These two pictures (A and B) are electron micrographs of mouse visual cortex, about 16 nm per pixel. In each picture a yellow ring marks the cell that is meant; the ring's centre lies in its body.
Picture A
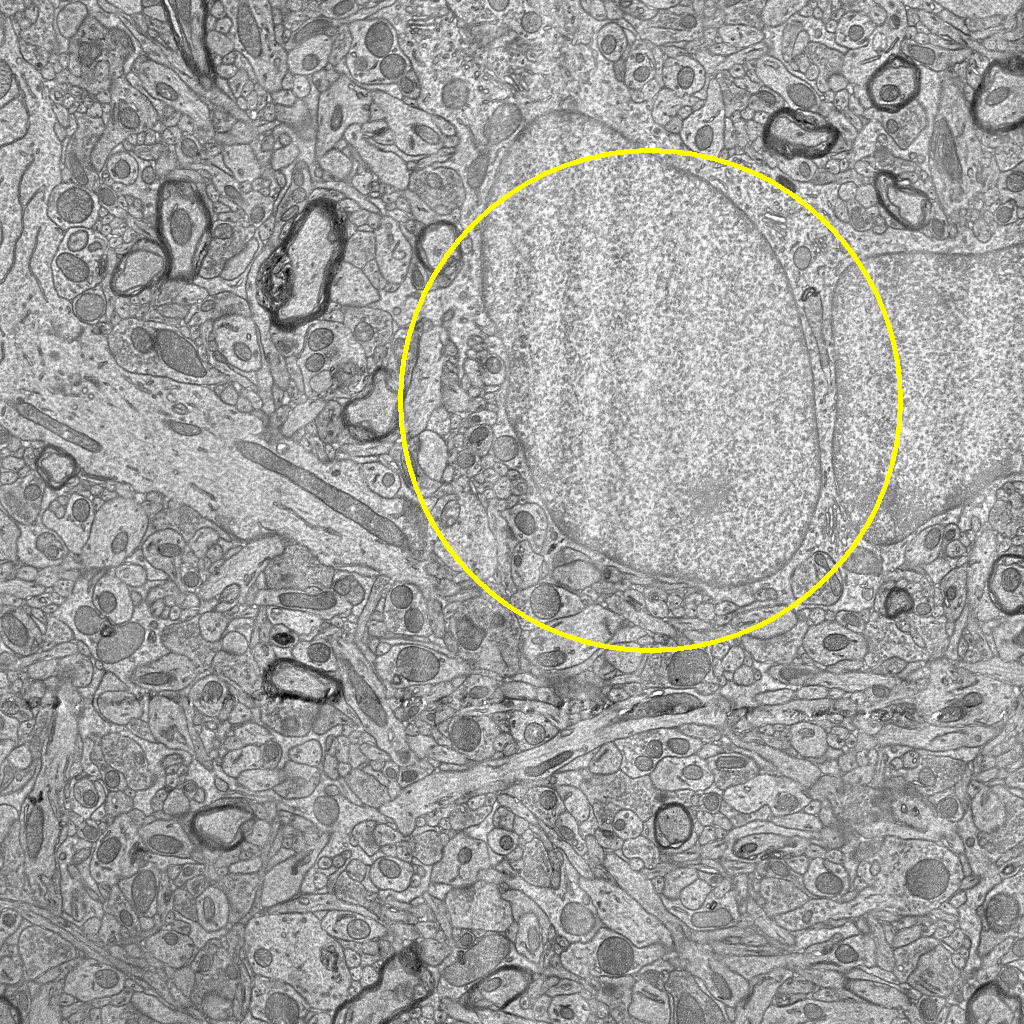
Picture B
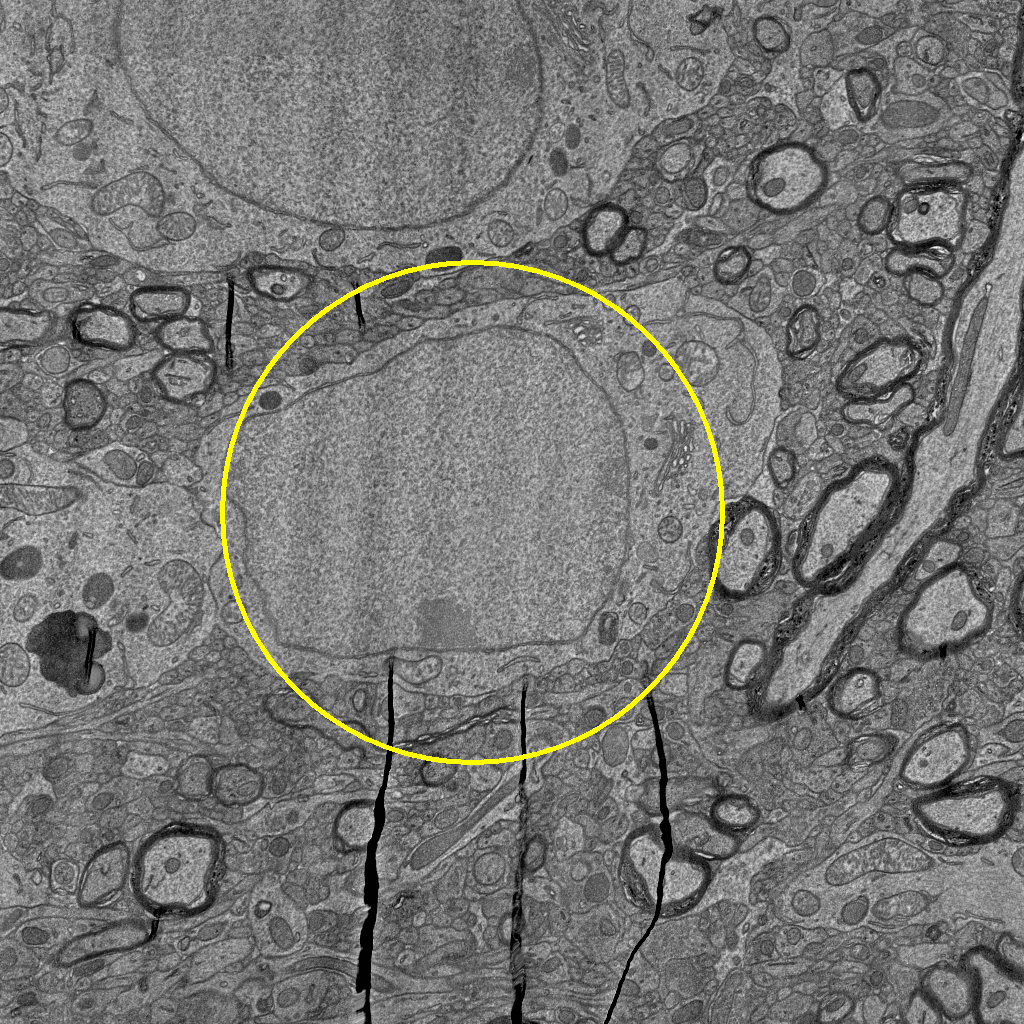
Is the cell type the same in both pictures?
No, they differ: the cell is an astrocyte in picture A and an excitatory neuron in picture B.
